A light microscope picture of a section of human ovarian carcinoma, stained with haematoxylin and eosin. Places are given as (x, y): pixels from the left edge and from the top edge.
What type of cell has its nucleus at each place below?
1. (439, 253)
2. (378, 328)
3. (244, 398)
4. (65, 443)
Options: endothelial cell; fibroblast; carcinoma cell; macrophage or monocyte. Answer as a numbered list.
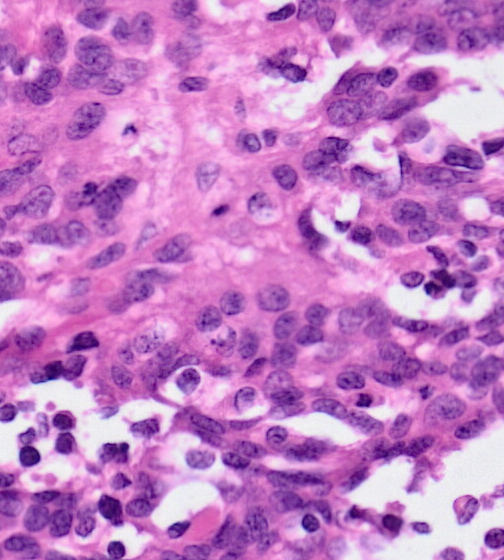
1. carcinoma cell
2. carcinoma cell
3. macrophage or monocyte
4. carcinoma cell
